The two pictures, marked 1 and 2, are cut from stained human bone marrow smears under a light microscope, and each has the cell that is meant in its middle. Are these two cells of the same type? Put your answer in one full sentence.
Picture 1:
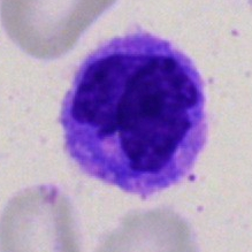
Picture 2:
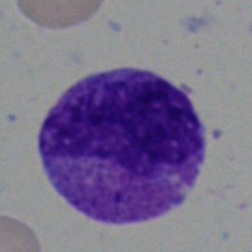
No, the types are not the same, since picture 1 shows a monocyte and picture 2 a myelocyte.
